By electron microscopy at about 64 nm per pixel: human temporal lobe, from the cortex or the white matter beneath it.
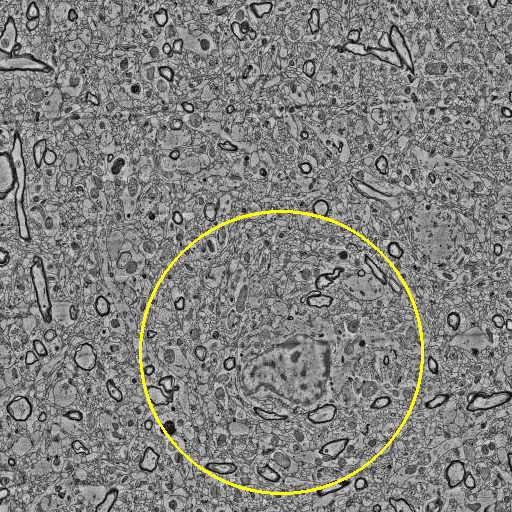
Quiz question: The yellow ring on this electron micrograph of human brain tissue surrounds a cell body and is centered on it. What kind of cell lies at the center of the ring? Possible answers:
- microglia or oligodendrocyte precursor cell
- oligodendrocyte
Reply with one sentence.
The ring's center lies on a microglial cell or oligodendrocyte precursor cell.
